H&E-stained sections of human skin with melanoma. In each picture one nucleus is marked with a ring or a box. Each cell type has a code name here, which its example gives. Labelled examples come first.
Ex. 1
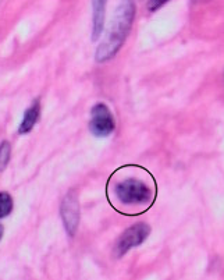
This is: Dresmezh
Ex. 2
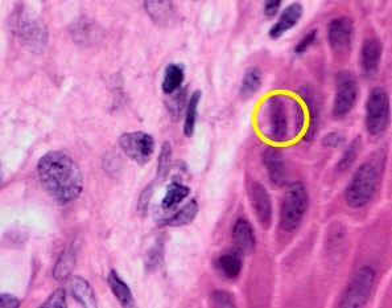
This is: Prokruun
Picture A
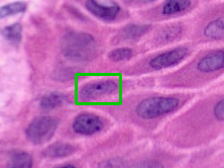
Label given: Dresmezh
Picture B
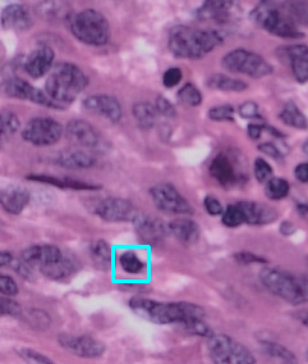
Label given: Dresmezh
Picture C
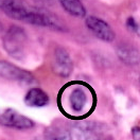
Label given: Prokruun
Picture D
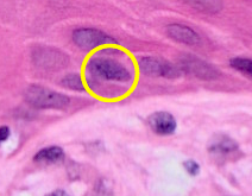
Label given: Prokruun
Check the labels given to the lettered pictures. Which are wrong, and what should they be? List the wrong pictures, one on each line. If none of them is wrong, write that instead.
Wrong: A (Dresmezh); correct: Prokruun
Wrong: C (Prokruun); correct: Dresmezh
